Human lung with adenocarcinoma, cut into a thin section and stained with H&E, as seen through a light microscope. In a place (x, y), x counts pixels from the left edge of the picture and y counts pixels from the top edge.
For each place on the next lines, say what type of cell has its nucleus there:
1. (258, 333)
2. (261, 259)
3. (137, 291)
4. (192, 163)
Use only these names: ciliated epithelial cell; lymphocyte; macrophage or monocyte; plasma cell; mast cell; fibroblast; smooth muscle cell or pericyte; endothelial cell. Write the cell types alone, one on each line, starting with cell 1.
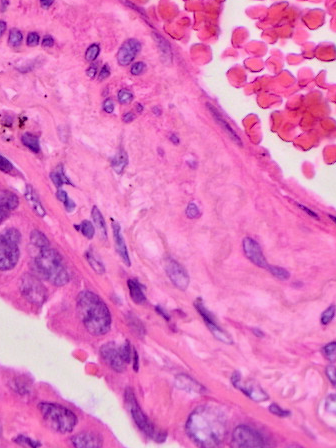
smooth muscle cell or pericyte
smooth muscle cell or pericyte
plasma cell
smooth muscle cell or pericyte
